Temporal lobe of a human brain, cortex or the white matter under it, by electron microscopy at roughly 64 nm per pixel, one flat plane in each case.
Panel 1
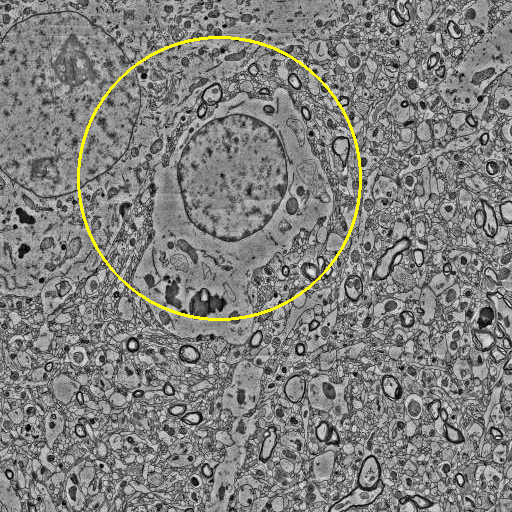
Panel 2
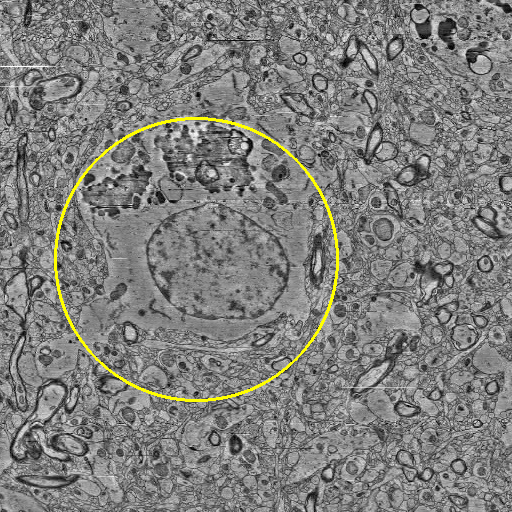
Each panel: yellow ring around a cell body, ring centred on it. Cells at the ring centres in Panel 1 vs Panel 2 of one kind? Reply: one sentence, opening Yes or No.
Yes, Panel 1 and Panel 2 have cells of one kind at the ring centres.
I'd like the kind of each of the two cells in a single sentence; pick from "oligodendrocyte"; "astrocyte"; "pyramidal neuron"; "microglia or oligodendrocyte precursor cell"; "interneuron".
Each of the two pictures has an astrocyte at the ring centre.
